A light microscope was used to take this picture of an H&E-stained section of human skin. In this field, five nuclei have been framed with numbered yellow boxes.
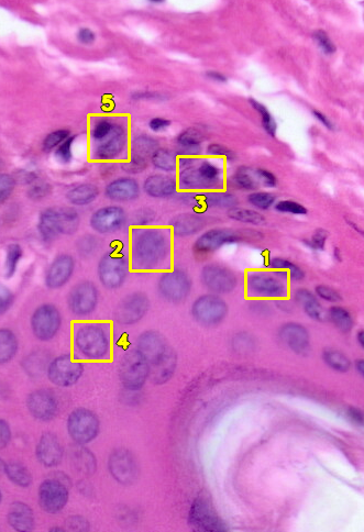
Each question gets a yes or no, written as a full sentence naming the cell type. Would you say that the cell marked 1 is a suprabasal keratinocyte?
No, what number 1 shows is a basal keratinocyte, not a suprabasal keratinocyte.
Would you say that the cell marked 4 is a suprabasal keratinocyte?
Yes, number 4 is assigned to a cell that is a suprabasal keratinocyte.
